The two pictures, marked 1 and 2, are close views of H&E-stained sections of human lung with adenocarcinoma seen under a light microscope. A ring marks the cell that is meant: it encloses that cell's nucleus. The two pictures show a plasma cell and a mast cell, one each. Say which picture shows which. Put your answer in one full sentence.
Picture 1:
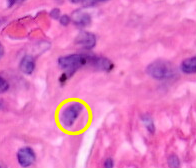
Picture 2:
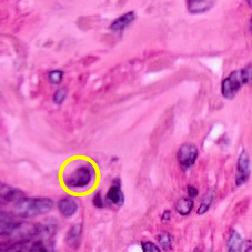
Picture 1 is of a mast cell, and picture 2 is of a plasma cell.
